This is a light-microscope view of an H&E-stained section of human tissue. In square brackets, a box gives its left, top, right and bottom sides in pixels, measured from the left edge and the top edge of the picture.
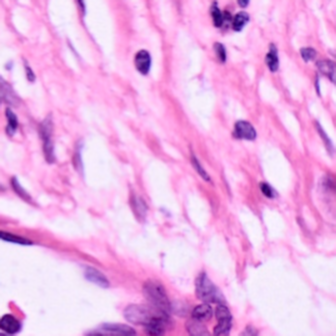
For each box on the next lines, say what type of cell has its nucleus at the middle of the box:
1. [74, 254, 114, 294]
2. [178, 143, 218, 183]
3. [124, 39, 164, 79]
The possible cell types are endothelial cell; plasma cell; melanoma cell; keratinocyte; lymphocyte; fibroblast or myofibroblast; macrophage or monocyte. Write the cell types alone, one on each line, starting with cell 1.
endothelial cell
fibroblast or myofibroblast
lymphocyte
